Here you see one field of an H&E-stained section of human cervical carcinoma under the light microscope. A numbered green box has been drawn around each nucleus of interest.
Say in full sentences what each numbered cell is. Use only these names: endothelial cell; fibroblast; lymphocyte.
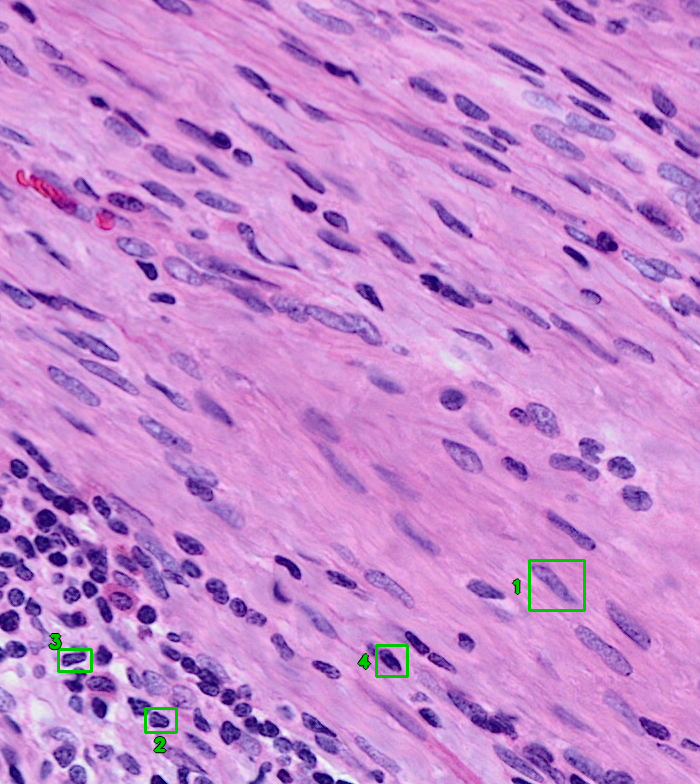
Cell 1 is a fibroblast. Cells 2, 3 and 4 are lymphocytes.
